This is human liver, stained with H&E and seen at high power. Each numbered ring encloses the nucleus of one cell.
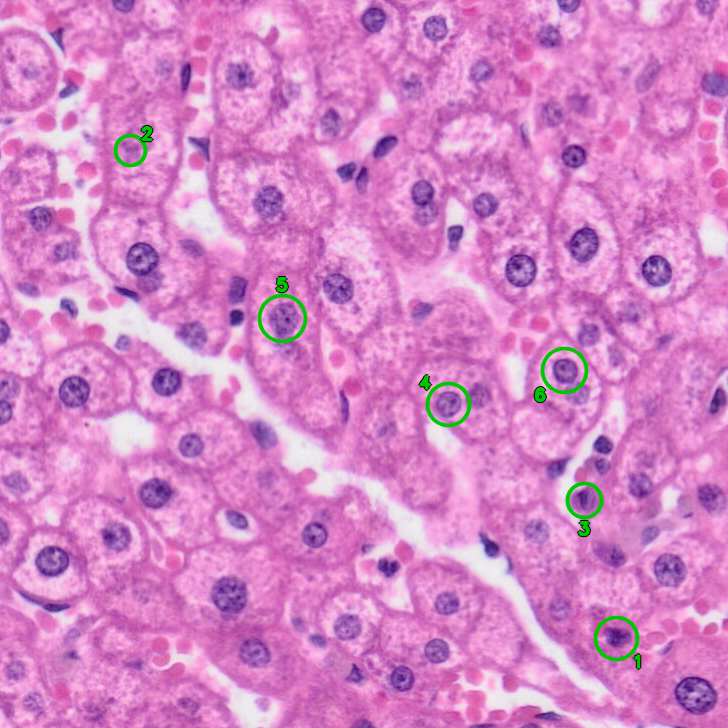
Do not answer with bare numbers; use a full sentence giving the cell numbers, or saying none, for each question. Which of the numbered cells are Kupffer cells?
The nucleus numbered 3 is the only one that belongs to a Kupffer cell.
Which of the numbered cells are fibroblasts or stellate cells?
Only the cell carrying number 1 is a fibroblast or stellate cell.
